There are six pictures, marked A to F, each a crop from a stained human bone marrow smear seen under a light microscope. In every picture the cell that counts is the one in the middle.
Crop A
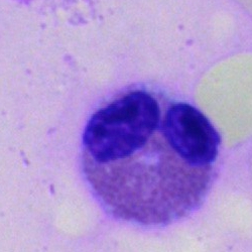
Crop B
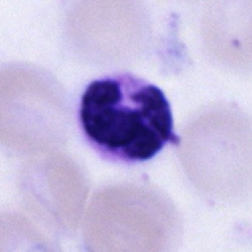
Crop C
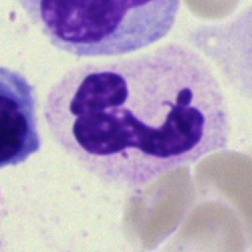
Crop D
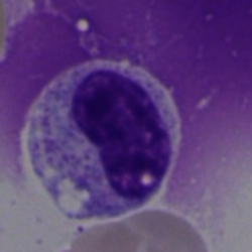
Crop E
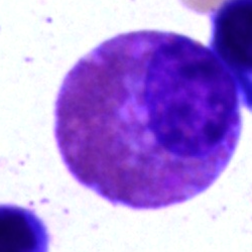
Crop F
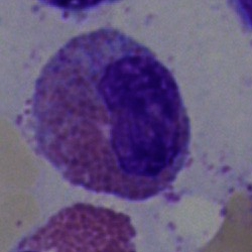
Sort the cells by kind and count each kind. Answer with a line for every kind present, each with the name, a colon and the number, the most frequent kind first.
eosinophil: 4
neutrophil: 2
